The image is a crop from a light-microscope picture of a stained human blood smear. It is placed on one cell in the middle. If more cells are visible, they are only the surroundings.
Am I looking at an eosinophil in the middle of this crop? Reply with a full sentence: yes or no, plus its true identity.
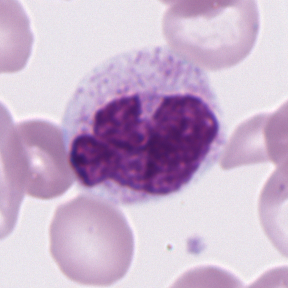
No, the central cell qualifies as a segmented neutrophil rather than as an eosinophil.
